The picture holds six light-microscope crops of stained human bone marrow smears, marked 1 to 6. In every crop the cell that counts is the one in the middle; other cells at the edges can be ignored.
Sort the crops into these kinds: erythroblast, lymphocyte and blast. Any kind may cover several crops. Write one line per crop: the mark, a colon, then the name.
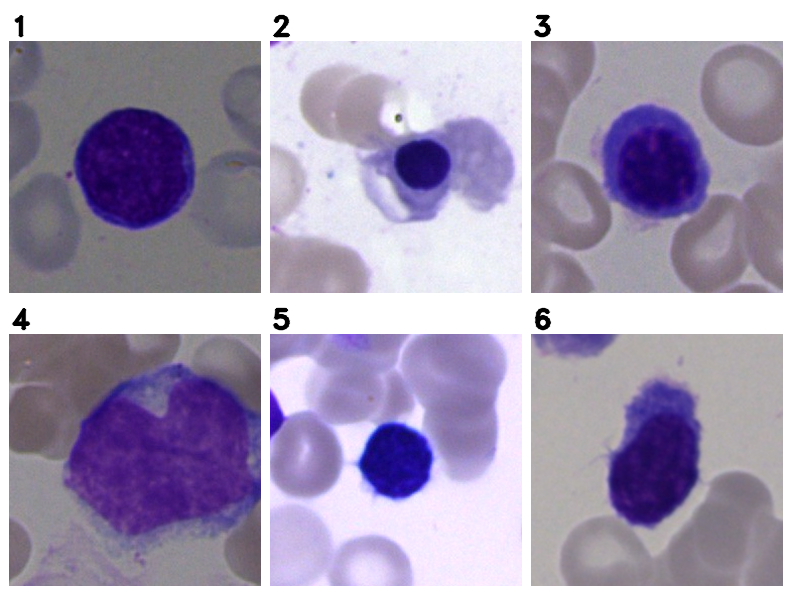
1: blast
2: erythroblast
3: erythroblast
4: blast
5: lymphocyte
6: lymphocyte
